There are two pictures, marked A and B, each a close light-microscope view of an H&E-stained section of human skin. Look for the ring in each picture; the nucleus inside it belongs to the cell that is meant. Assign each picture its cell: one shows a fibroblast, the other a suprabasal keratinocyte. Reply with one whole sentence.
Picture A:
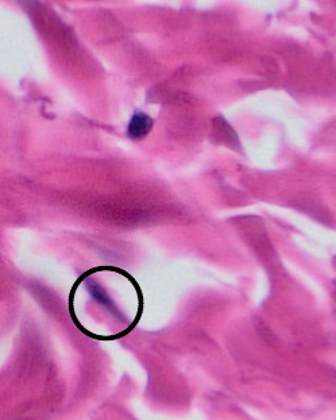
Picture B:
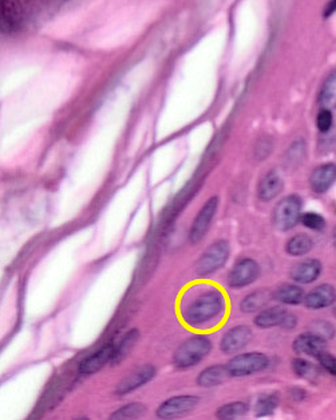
Picture B shows a suprabasal keratinocyte, while picture A shows a fibroblast.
